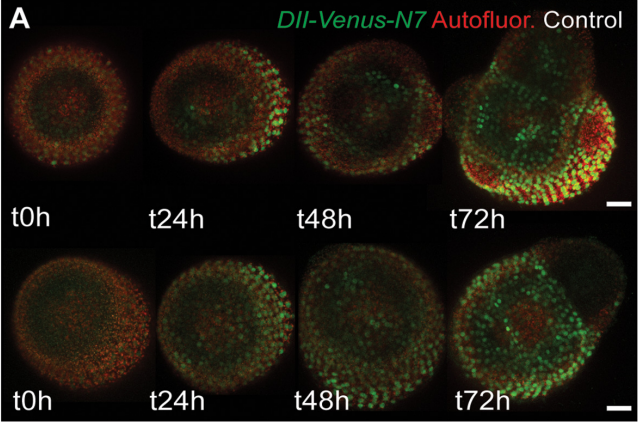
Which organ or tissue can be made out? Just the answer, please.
Meristems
